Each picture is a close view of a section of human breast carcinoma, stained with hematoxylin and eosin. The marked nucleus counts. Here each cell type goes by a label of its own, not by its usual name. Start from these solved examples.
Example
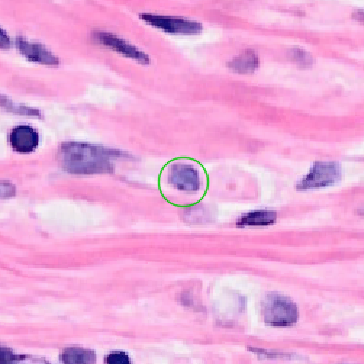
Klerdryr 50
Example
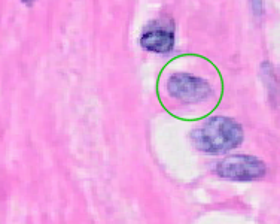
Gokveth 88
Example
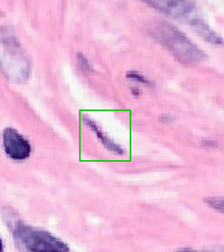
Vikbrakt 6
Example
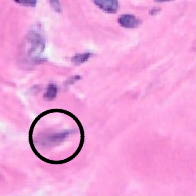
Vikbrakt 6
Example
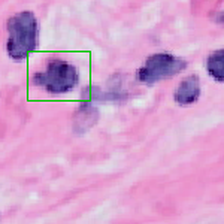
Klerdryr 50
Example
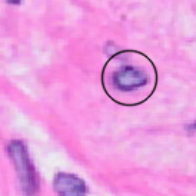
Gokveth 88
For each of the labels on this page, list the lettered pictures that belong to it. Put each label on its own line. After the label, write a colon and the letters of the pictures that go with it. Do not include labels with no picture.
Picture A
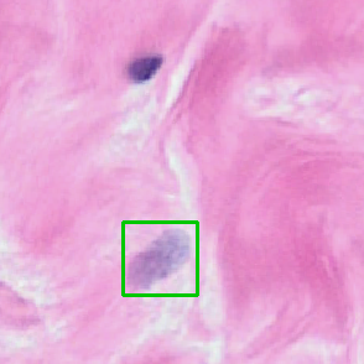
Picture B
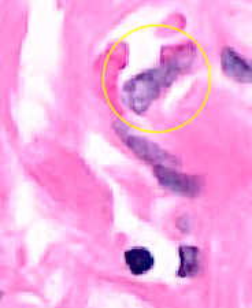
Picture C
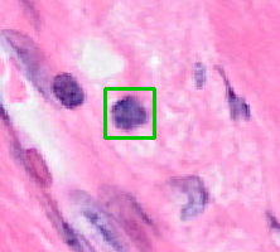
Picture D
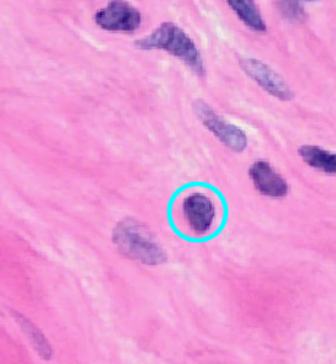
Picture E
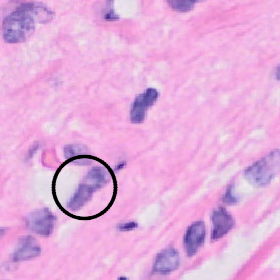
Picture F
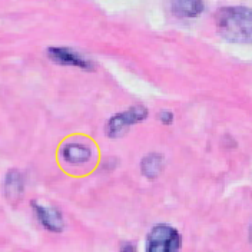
Klerdryr 50: C, D
Gokveth 88: B, E, F
Vikbrakt 6: A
